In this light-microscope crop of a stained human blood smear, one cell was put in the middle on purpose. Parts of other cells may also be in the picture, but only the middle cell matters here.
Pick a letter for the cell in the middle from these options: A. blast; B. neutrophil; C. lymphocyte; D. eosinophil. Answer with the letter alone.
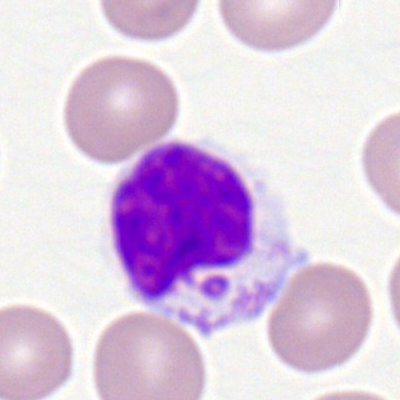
C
